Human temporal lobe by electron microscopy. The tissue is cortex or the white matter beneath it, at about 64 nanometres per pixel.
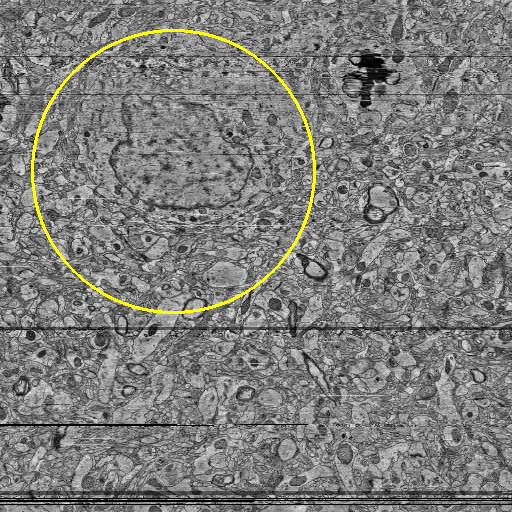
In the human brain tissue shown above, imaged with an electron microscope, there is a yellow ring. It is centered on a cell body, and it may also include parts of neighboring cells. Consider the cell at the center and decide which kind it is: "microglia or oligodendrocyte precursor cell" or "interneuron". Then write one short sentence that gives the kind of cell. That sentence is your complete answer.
This centered cell body is that of an interneuron.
